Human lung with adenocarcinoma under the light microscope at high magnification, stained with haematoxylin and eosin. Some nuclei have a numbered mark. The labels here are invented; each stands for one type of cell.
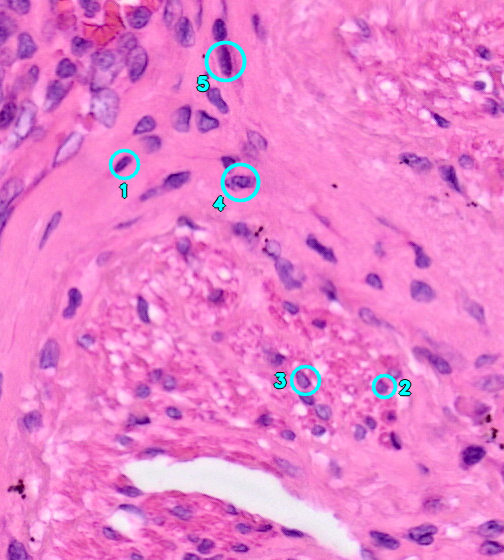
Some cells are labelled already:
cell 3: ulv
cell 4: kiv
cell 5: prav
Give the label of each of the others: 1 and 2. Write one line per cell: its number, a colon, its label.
1: kiv
2: ulv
